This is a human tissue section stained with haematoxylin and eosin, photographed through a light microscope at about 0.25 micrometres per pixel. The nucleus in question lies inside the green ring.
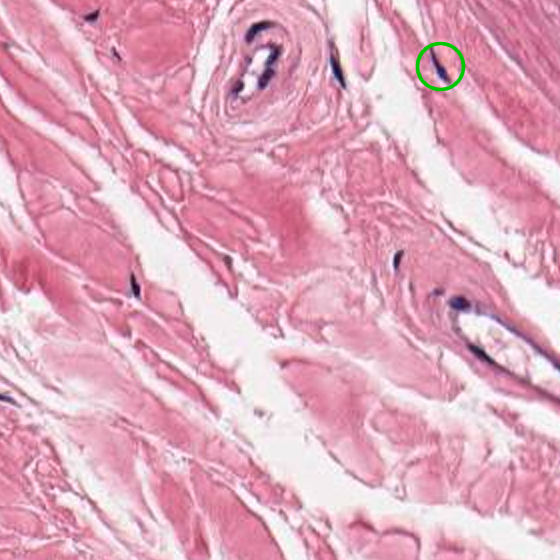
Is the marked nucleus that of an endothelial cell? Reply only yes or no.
no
